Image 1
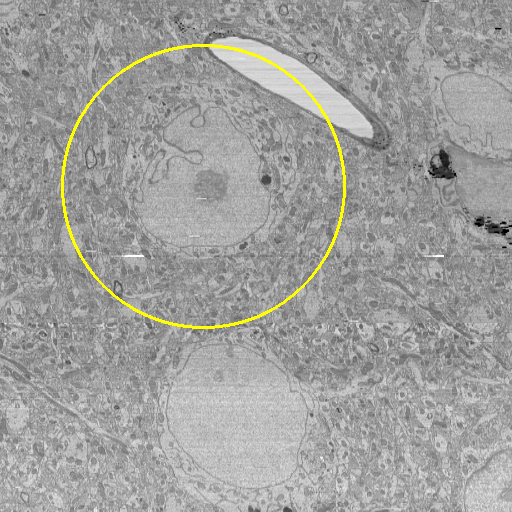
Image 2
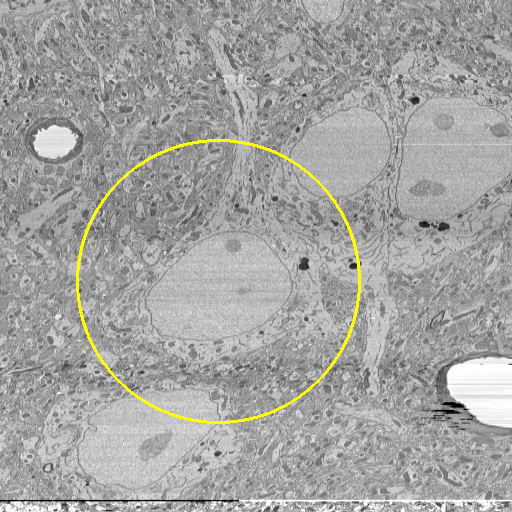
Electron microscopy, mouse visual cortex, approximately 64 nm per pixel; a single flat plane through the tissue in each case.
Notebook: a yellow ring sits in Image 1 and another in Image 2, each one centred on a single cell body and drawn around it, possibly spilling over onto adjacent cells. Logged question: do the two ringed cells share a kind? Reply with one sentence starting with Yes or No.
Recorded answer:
No, the centre cells inside the rings of Image 1 and Image 2 are of two kinds.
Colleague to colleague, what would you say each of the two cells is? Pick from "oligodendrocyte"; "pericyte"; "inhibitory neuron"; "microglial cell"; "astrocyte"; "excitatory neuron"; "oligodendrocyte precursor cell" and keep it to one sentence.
The cell in the first picture is an inhibitory neuron; the second picture's cell is an excitatory neuron.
